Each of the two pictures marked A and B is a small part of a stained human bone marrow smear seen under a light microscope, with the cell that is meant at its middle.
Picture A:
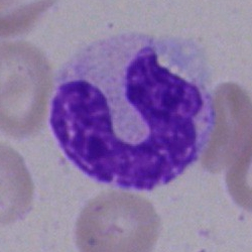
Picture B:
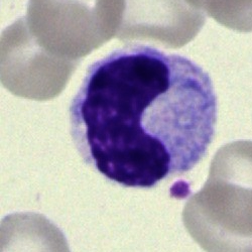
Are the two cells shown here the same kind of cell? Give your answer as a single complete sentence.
Yes, they are the same type: both are band neutrophils.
